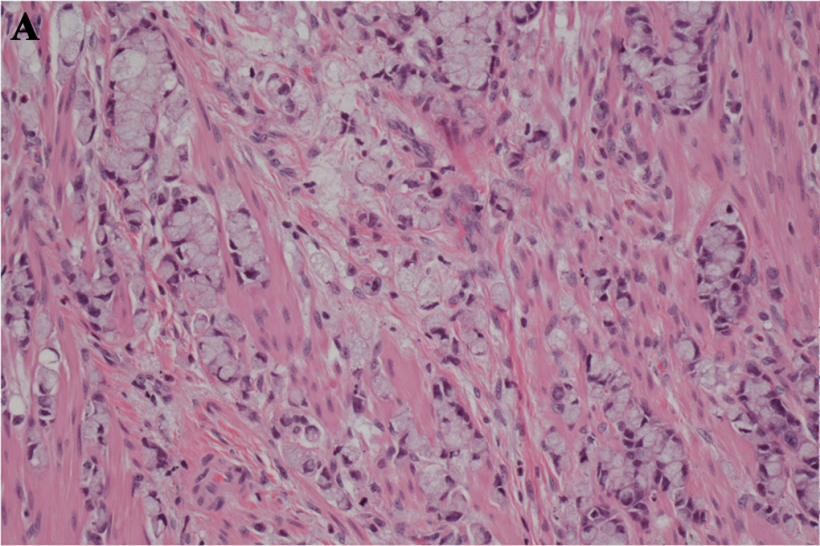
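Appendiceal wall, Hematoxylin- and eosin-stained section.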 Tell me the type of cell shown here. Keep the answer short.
signet ring cells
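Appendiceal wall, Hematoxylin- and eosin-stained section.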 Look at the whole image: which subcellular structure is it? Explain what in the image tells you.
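Large pale grey-blue vacuoles occupy the cytoplasm of many cells. The vacuoles push the nuclei to the cell periphery.
Hence: prominent mucin vacuoles.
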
